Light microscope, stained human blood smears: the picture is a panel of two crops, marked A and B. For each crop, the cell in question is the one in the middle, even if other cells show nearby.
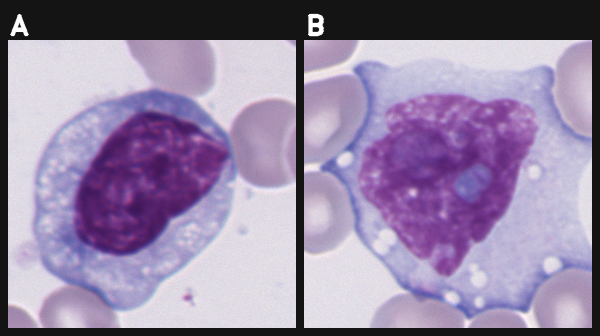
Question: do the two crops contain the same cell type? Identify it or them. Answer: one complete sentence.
No, the cell centred in crop B is a myeloblast; crop A centres on a monocyte.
